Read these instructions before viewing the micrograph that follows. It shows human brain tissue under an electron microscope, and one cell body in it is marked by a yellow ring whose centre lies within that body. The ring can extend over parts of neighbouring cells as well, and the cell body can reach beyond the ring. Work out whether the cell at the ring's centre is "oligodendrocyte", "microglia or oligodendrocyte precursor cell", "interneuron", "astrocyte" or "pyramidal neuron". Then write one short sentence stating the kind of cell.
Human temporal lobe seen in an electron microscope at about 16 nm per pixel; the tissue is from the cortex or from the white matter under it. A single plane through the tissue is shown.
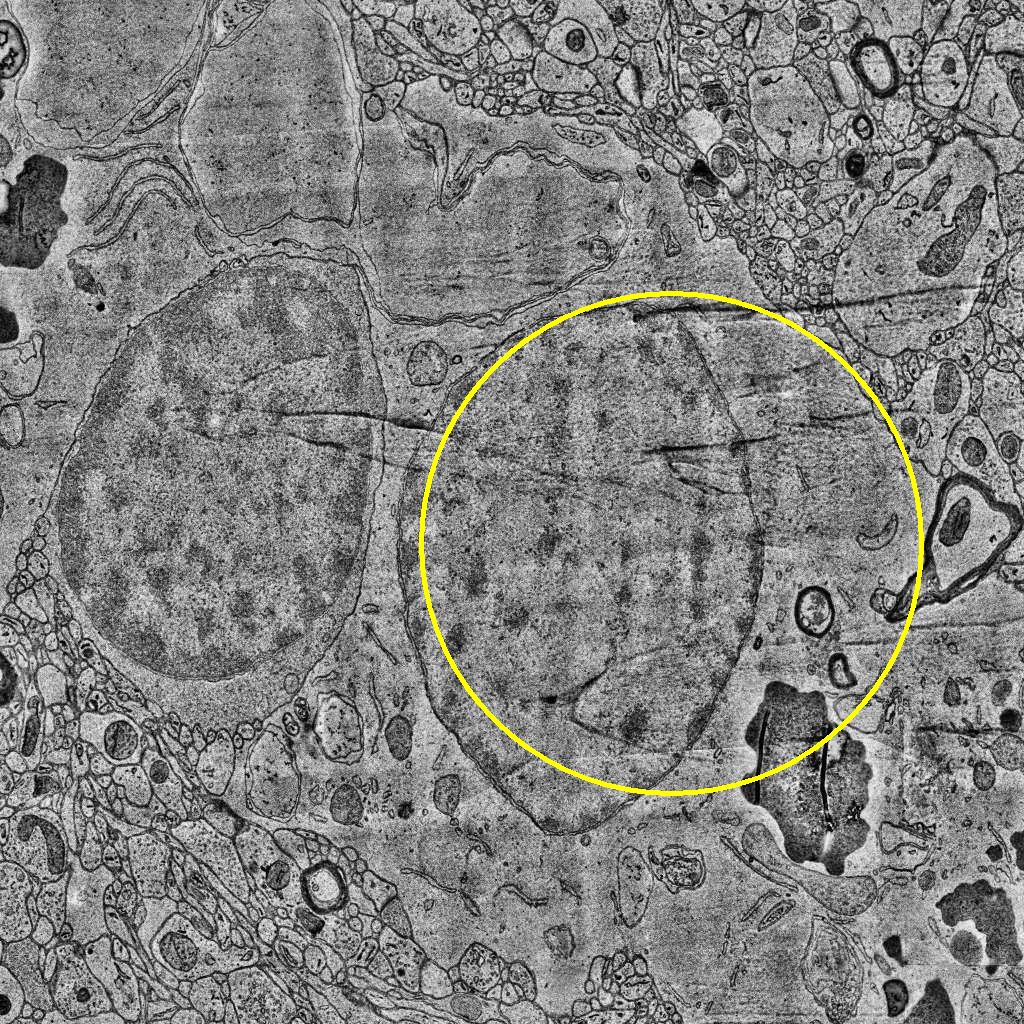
The cell at the ring's centre is an astrocyte.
